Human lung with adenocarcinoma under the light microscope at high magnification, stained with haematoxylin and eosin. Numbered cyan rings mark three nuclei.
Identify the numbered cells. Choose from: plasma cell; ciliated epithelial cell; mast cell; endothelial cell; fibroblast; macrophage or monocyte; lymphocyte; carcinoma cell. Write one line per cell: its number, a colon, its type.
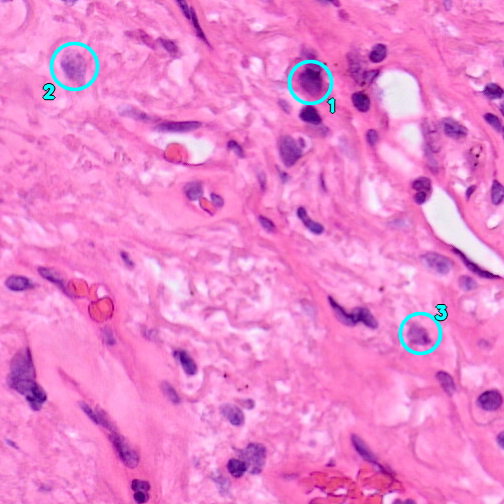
1: plasma cell
2: fibroblast
3: fibroblast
